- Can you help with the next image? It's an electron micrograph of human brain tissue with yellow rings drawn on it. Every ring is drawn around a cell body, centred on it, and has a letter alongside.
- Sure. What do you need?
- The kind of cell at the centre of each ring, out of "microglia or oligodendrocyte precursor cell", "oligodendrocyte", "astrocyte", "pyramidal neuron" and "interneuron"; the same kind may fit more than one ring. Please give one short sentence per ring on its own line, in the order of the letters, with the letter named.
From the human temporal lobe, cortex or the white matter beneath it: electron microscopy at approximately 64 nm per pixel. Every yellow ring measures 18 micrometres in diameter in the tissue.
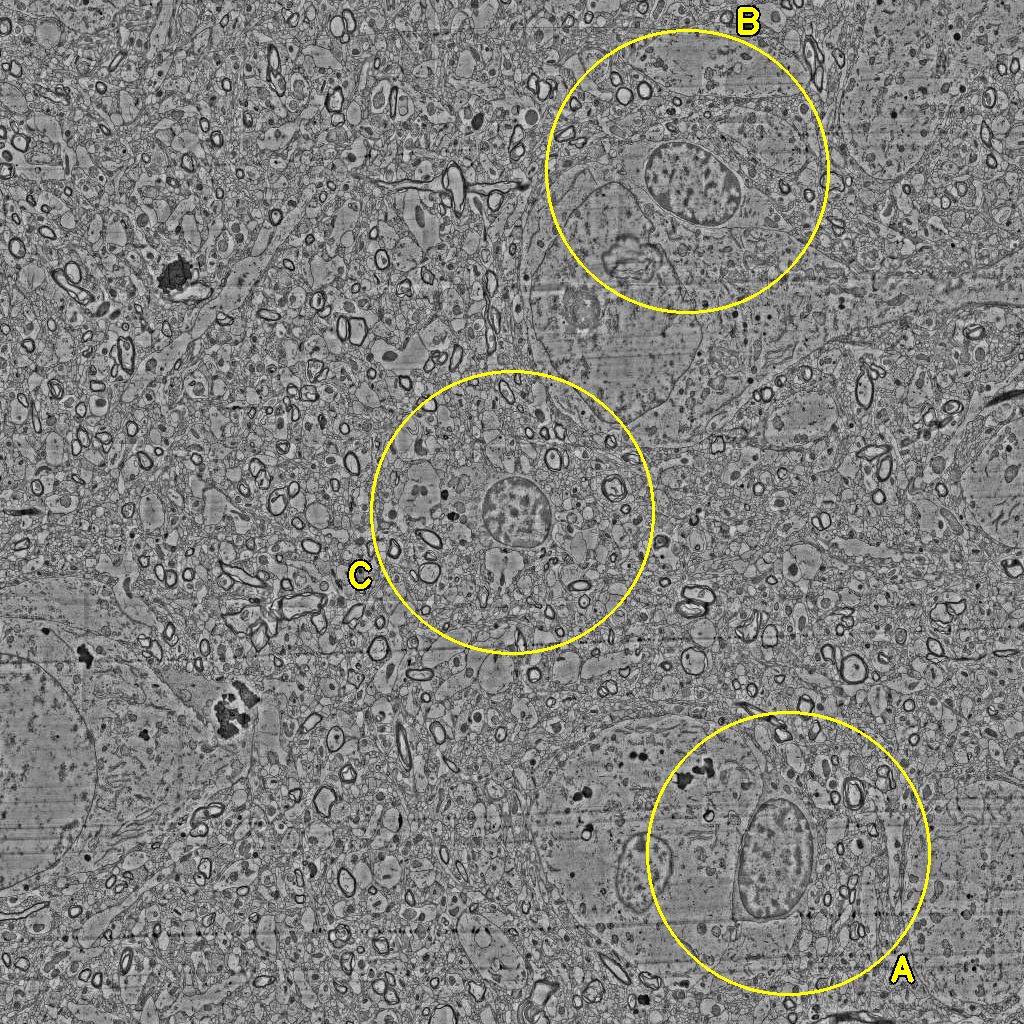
Ring A picks out an oligodendrocyte.
Ring B picks out a microglial cell or oligodendrocyte precursor cell.
Ring C picks out an oligodendrocyte.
